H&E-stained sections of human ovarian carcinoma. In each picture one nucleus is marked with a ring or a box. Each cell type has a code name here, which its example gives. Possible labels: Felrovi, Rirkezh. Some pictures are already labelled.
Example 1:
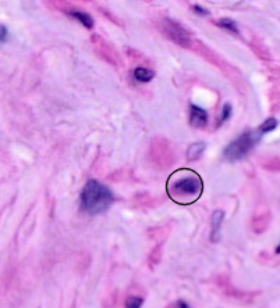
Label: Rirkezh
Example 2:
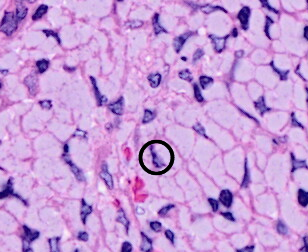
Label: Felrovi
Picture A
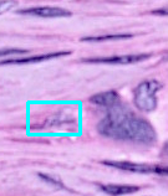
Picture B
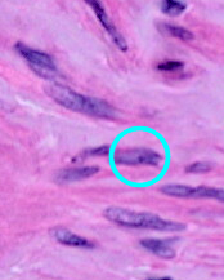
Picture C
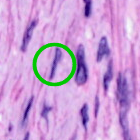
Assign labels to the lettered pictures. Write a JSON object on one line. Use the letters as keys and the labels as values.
{"A": "Felrovi", "B": "Rirkezh", "C": "Felrovi"}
